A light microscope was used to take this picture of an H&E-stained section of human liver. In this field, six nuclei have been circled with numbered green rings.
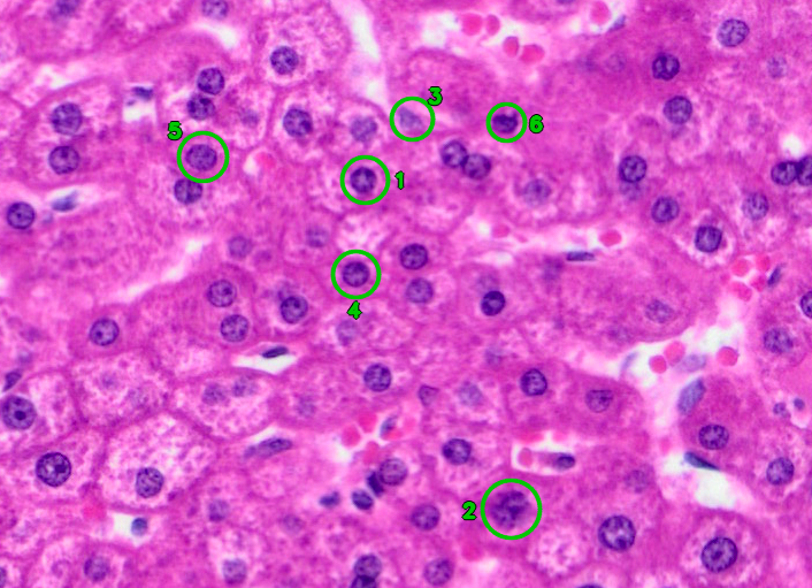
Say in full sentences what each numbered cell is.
Cells 1, 2, 4 and 5 are hepatocytes. Cell 3 is a Kupffer cell. Cell 6 is a fibroblast or stellate cell.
